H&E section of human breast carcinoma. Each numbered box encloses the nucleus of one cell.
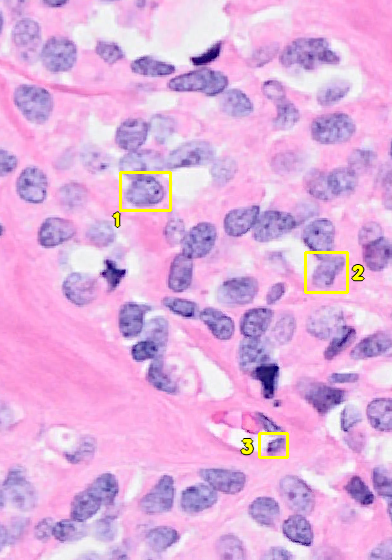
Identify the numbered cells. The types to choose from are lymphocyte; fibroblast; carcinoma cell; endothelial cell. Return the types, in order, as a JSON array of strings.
["carcinoma cell", "carcinoma cell", "endothelial cell"]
